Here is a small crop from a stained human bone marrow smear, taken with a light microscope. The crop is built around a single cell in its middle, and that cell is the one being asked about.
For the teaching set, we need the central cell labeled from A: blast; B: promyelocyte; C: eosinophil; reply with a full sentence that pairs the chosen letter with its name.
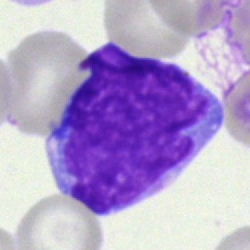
Option A is correct in that the central cell is a blast.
